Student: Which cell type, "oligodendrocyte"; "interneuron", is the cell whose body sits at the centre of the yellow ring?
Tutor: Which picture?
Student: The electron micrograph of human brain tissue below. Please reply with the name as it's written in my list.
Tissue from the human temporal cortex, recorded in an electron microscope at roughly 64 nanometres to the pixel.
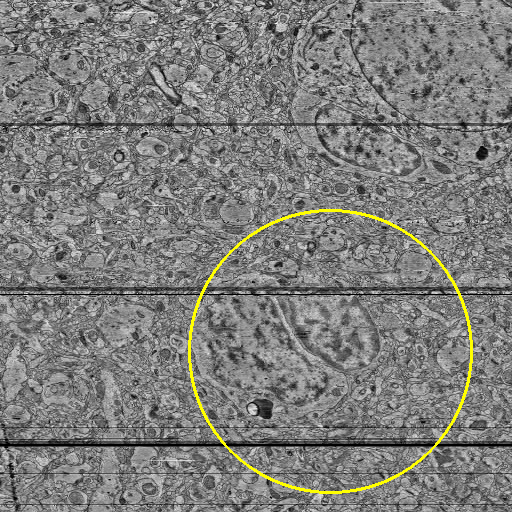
oligodendrocyte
